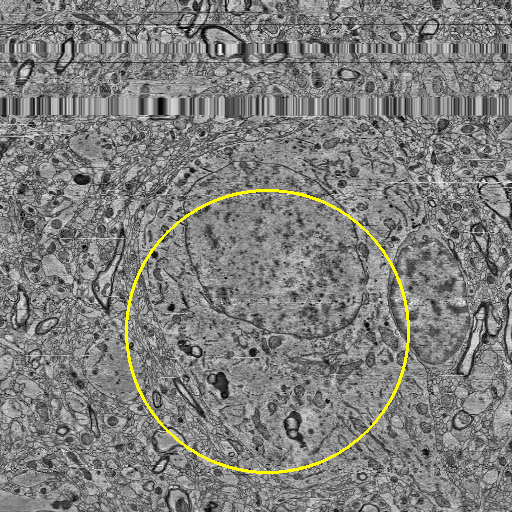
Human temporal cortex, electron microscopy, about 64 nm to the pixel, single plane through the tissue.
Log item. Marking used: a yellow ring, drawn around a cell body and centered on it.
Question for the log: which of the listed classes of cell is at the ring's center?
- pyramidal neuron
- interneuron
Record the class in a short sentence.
At the center of the ring lies a pyramidal neuron.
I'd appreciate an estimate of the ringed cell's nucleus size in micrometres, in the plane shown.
The nucleus measures about 14 by 11 micrometres in this plane.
